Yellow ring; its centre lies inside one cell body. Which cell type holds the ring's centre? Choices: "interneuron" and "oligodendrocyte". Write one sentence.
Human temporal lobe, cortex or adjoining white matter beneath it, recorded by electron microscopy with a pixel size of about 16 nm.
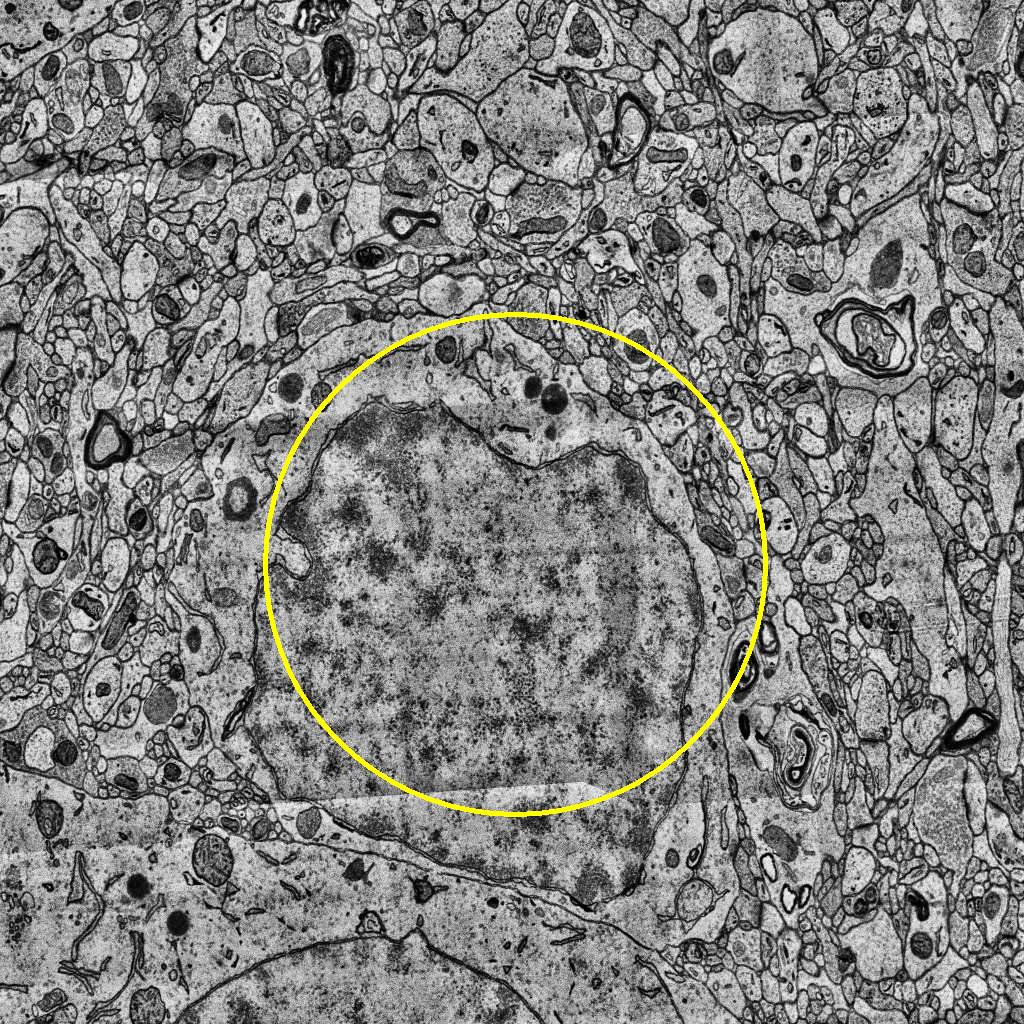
At the centre of the ring sits an interneuron.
